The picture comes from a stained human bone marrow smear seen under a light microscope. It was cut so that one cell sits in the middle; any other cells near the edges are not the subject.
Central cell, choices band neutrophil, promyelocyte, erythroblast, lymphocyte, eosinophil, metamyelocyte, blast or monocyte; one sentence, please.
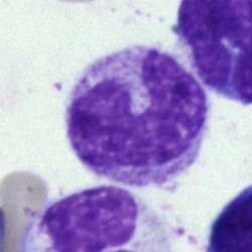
This crop's central cell is a band neutrophil.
